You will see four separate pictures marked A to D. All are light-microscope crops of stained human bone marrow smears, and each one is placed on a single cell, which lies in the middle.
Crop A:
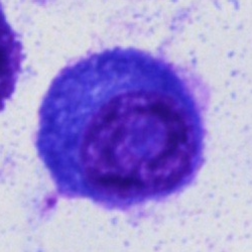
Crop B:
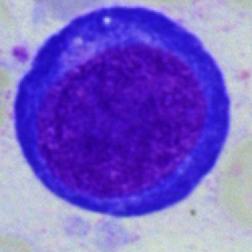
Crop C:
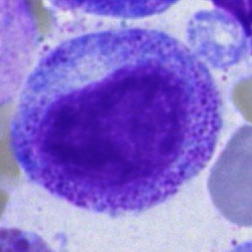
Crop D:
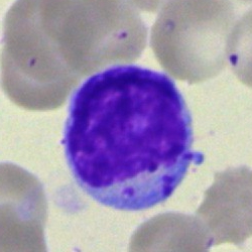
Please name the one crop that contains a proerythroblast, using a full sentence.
Among the crops, only crop B contains a proerythroblast.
